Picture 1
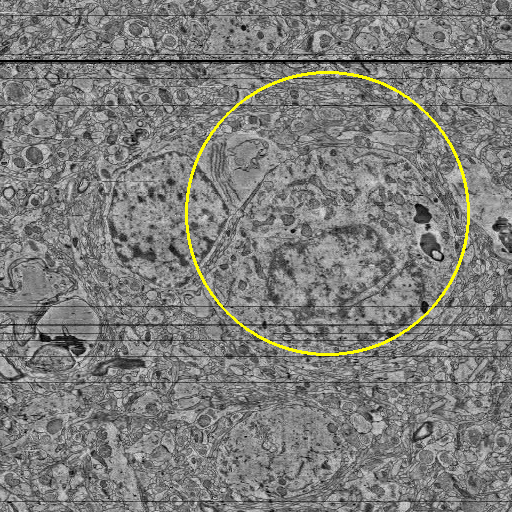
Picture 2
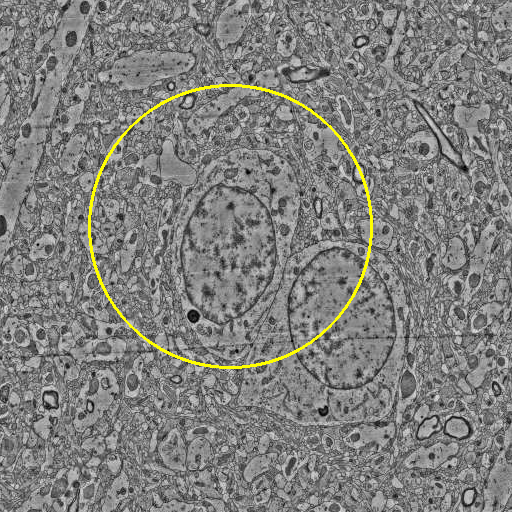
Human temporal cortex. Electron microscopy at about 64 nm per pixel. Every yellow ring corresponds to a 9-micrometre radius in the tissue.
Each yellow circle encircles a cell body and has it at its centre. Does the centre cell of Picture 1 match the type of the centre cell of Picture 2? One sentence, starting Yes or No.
No, the cell centred in Picture 1 and the one in Picture 2 have separate types.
